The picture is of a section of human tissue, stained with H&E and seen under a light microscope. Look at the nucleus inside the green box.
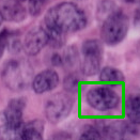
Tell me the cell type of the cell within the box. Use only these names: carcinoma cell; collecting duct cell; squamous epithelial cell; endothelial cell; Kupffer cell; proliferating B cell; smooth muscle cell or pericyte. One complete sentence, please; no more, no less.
It is as a proliferating B cell that the cell within the box is recorded.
